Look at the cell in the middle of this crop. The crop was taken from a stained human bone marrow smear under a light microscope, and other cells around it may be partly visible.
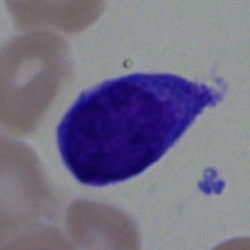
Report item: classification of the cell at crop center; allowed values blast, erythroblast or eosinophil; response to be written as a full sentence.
This particular crop is centered on a blast.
